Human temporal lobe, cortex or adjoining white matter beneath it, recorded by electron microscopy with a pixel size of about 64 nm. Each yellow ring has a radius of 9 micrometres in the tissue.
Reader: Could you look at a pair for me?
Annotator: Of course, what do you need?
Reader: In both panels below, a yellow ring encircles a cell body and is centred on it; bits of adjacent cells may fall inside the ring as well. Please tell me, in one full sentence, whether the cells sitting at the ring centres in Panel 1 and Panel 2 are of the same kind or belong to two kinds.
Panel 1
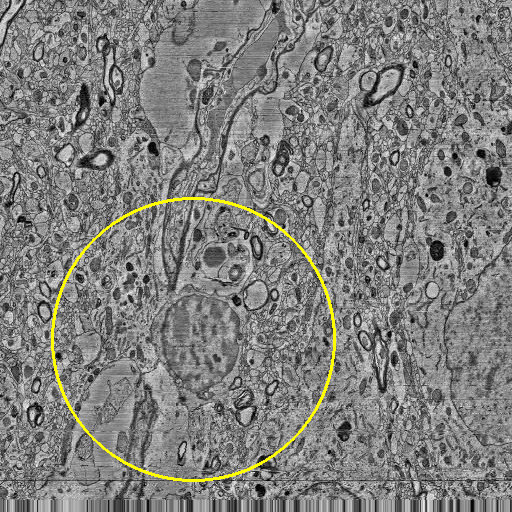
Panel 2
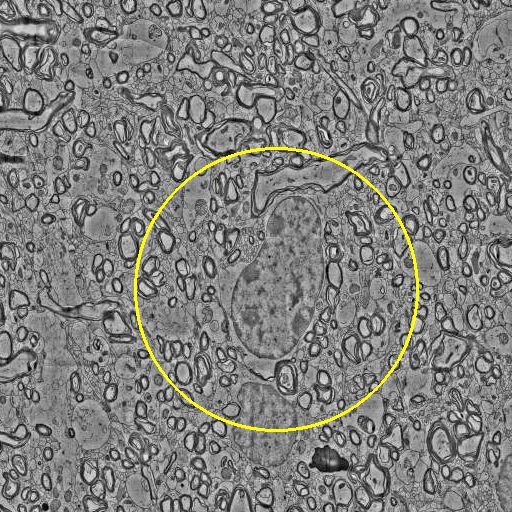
The cell at the ring's centre in Panel 1 and the one in Panel 2 belong to two kinds.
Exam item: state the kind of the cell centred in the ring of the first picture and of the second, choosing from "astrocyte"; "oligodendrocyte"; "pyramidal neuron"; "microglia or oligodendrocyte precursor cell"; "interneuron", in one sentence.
The first picture shows an oligodendrocyte at the ring centre and the second shows a microglial cell or oligodendrocyte precursor cell.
